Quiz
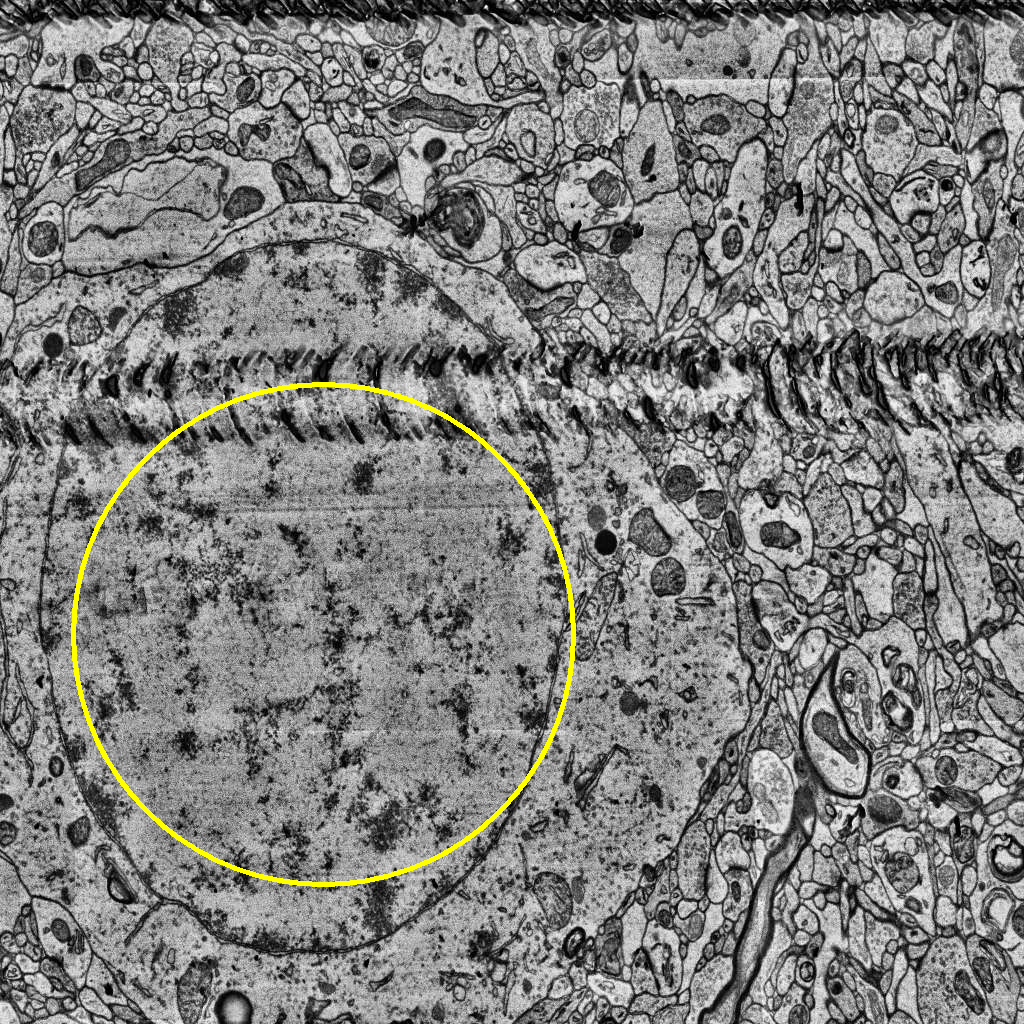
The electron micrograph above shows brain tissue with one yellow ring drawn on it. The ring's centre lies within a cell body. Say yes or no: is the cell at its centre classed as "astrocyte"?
no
